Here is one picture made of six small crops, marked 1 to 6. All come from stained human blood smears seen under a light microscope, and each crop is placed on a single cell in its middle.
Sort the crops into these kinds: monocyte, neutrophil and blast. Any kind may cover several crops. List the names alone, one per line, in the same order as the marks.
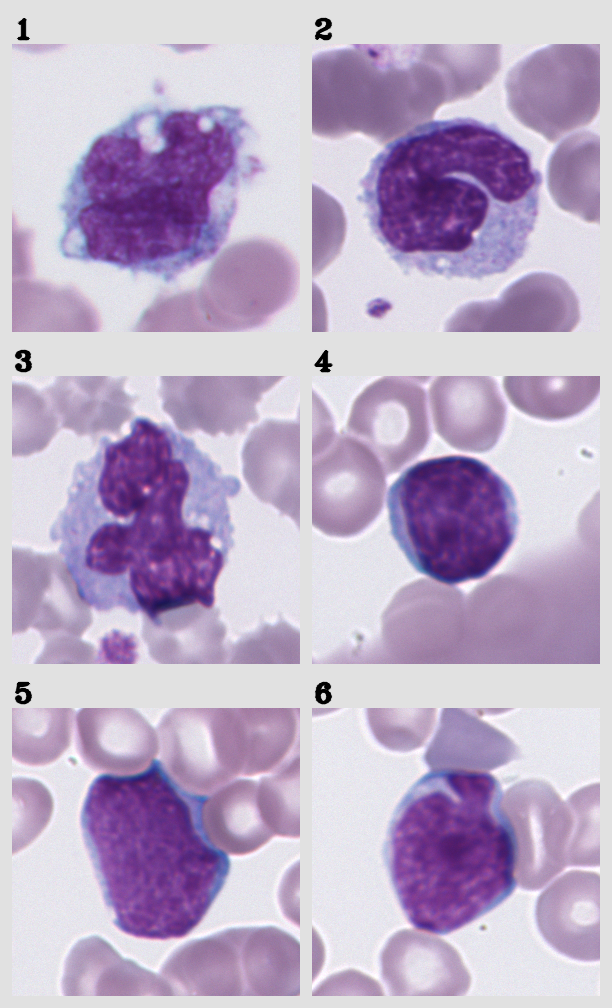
monocyte
monocyte
monocyte
blast
blast
blast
